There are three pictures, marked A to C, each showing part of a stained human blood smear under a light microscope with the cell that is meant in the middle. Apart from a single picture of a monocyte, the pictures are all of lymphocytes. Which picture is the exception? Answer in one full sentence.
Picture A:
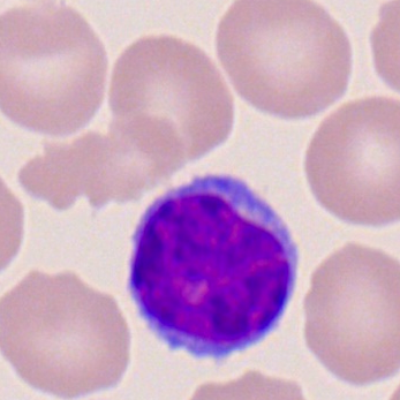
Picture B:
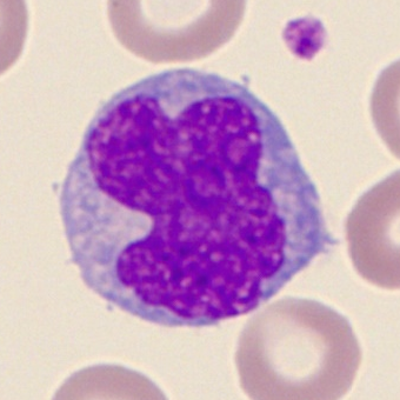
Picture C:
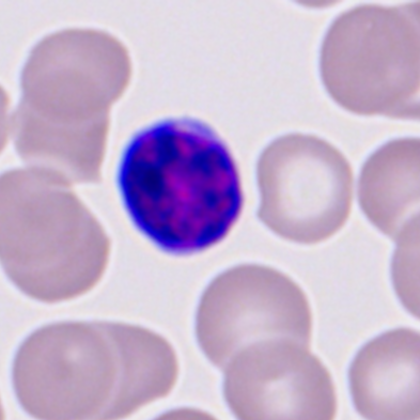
Picture B is the one that shows the monocyte.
